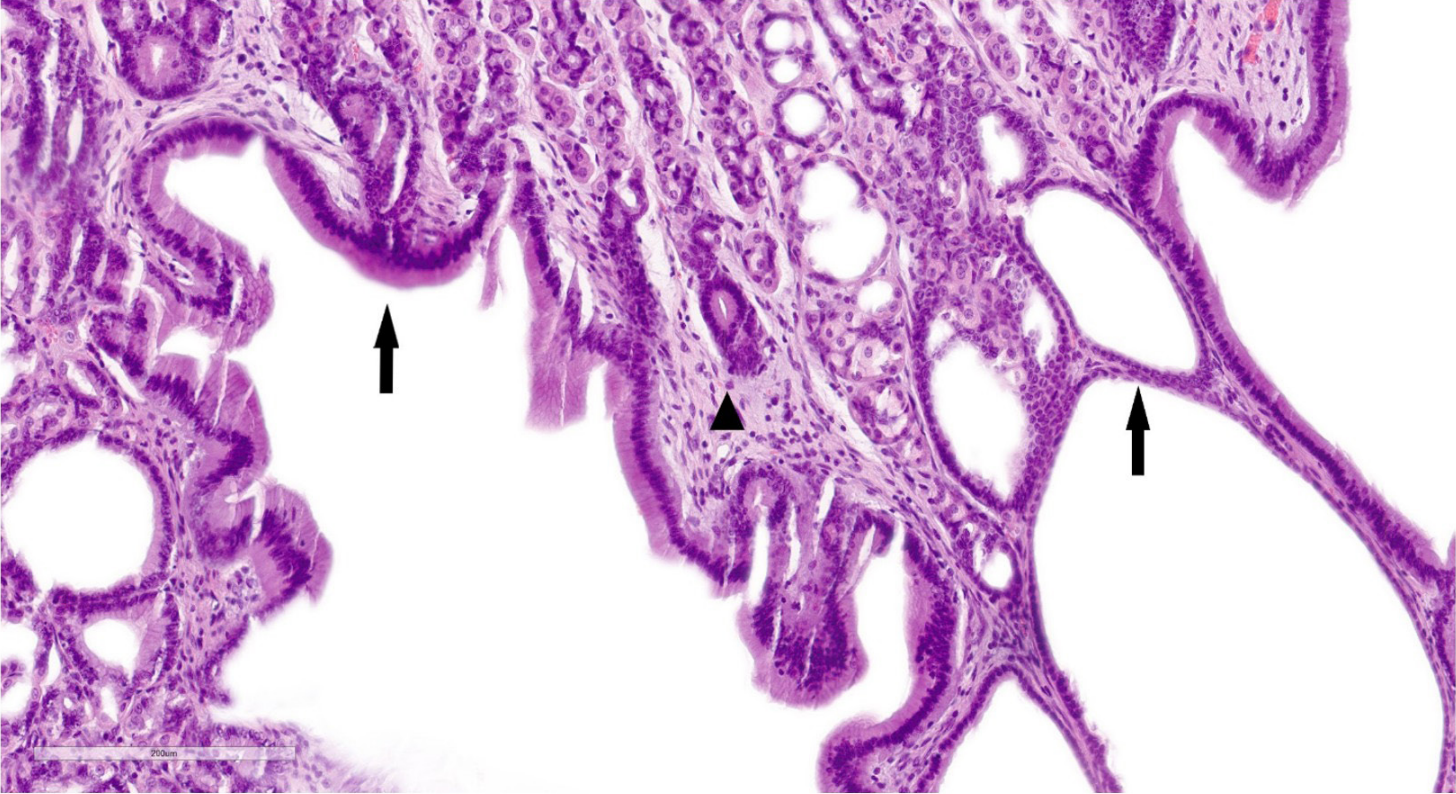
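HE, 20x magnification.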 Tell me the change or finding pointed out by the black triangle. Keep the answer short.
Mild lymphoplasmacytic inflammatory infiltrate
